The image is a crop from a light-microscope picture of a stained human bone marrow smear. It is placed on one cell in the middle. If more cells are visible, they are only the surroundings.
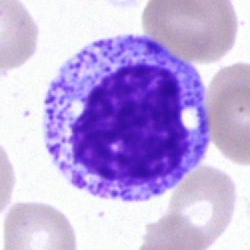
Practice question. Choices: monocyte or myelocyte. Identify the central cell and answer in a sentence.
At the middle of the frame sits a myelocyte.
